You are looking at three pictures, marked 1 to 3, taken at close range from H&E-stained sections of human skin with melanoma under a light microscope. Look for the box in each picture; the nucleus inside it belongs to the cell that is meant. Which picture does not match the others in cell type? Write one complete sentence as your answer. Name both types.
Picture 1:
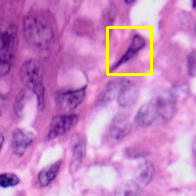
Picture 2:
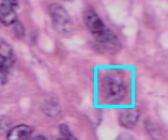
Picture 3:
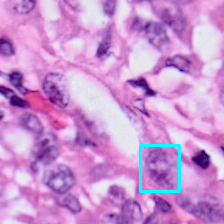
All pictures except 1 show melanoma cells; picture 1 shows a “macrophage or monocyte”.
